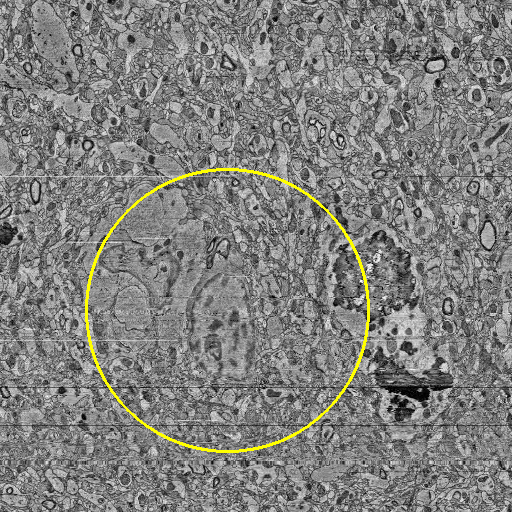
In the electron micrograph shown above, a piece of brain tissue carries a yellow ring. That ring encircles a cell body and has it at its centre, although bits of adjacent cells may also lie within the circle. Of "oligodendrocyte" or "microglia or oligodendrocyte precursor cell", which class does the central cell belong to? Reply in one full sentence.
The cell body at the centre of the yellow ring belongs to an oligodendrocyte.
